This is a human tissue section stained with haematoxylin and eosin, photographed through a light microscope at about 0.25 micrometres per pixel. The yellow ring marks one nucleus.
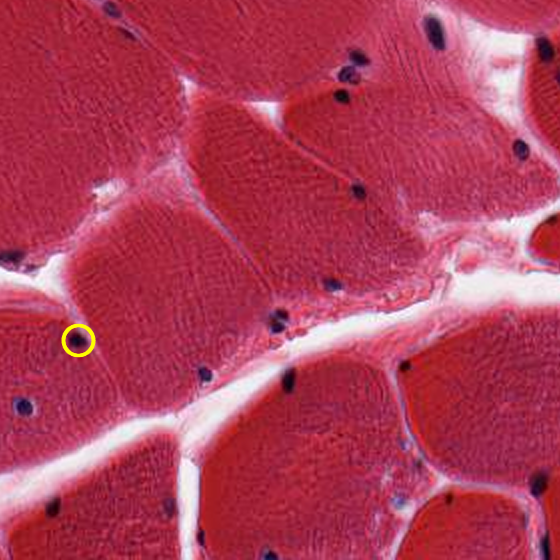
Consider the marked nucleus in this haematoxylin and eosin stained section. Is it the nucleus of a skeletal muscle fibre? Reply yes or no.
yes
